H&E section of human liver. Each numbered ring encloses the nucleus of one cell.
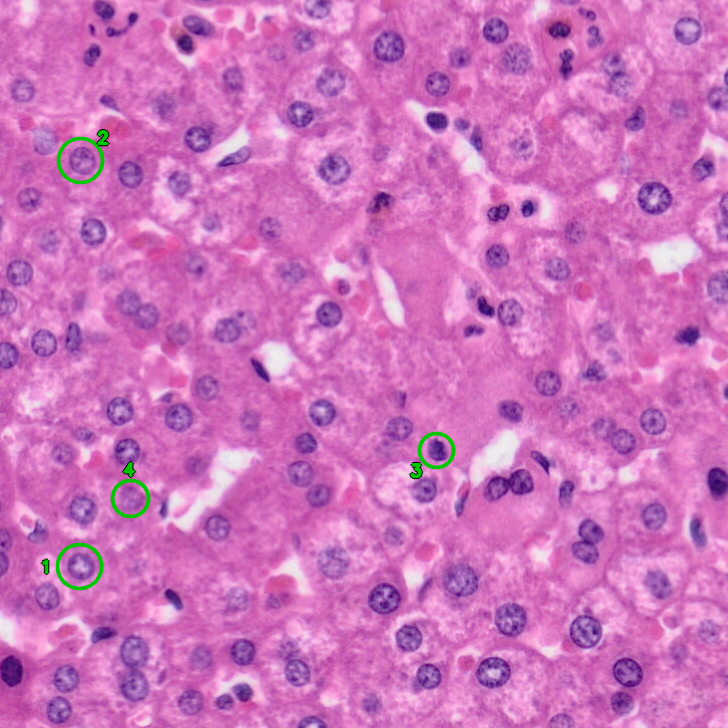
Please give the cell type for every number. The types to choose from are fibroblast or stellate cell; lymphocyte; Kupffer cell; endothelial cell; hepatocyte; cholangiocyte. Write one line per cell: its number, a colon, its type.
1: hepatocyte
2: hepatocyte
3: fibroblast or stellate cell
4: hepatocyte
